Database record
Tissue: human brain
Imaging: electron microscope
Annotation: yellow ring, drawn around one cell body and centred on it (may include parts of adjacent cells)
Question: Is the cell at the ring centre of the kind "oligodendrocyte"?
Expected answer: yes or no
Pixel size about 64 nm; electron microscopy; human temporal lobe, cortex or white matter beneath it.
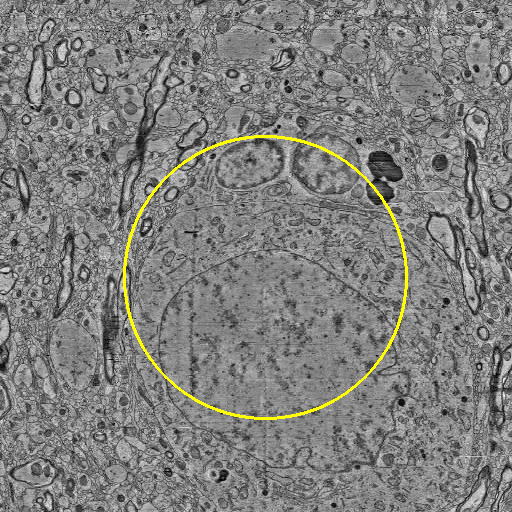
no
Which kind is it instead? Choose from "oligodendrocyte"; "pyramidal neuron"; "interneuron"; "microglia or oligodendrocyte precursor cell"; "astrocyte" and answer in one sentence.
The cell shown in the ring is a pyramidal neuron.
